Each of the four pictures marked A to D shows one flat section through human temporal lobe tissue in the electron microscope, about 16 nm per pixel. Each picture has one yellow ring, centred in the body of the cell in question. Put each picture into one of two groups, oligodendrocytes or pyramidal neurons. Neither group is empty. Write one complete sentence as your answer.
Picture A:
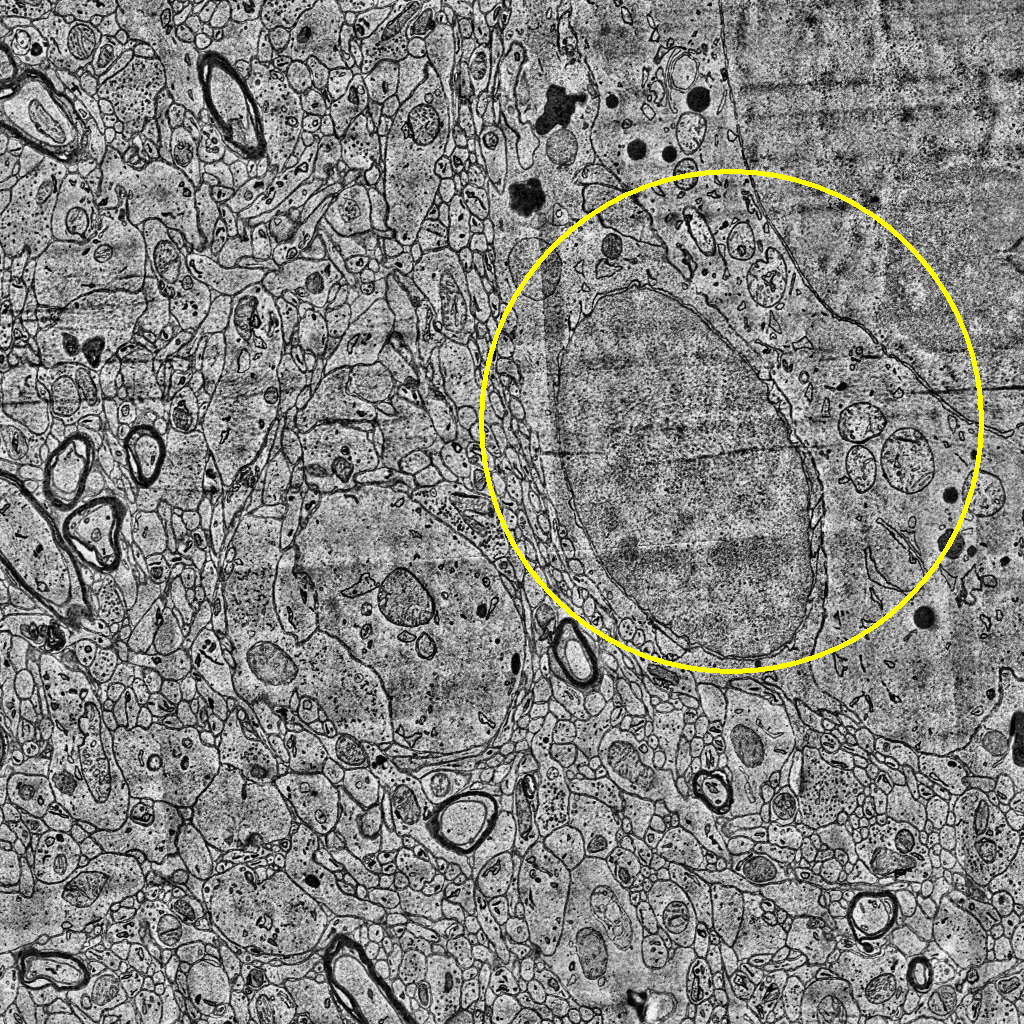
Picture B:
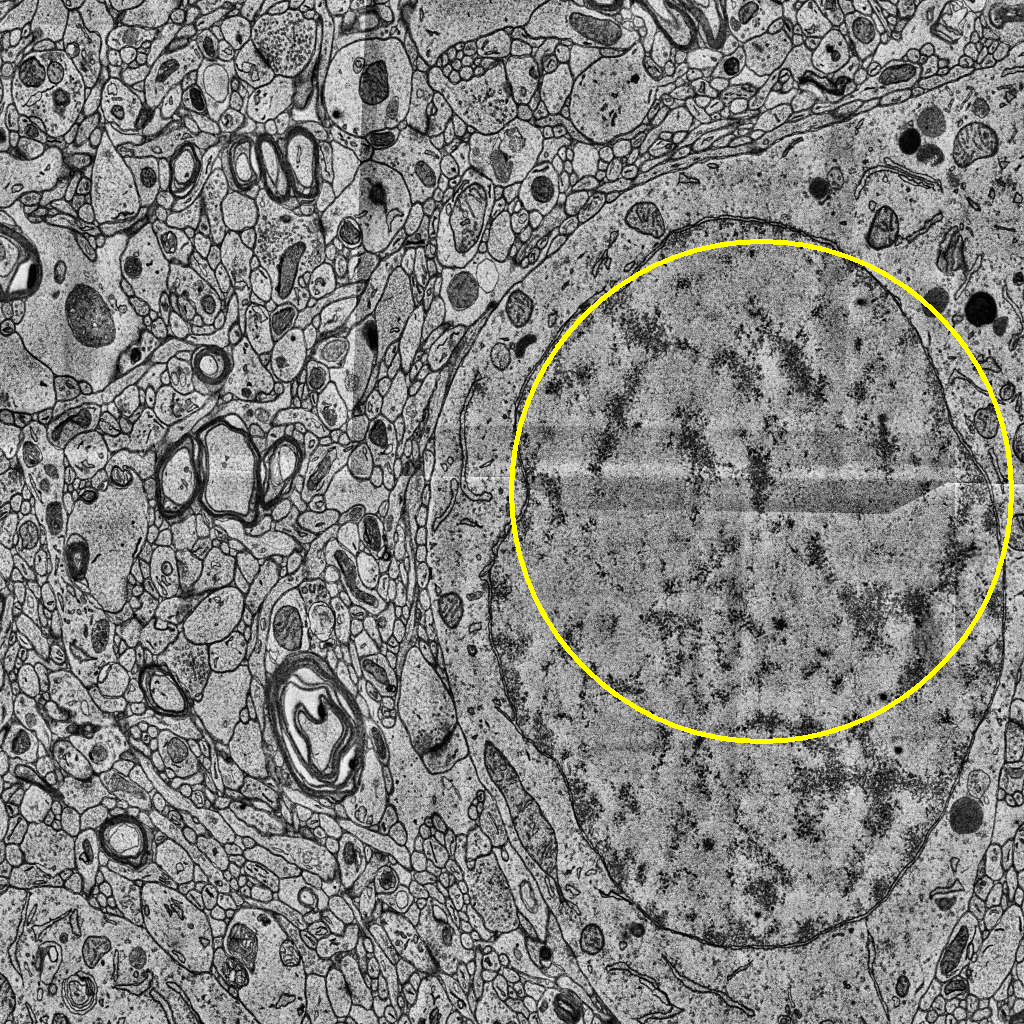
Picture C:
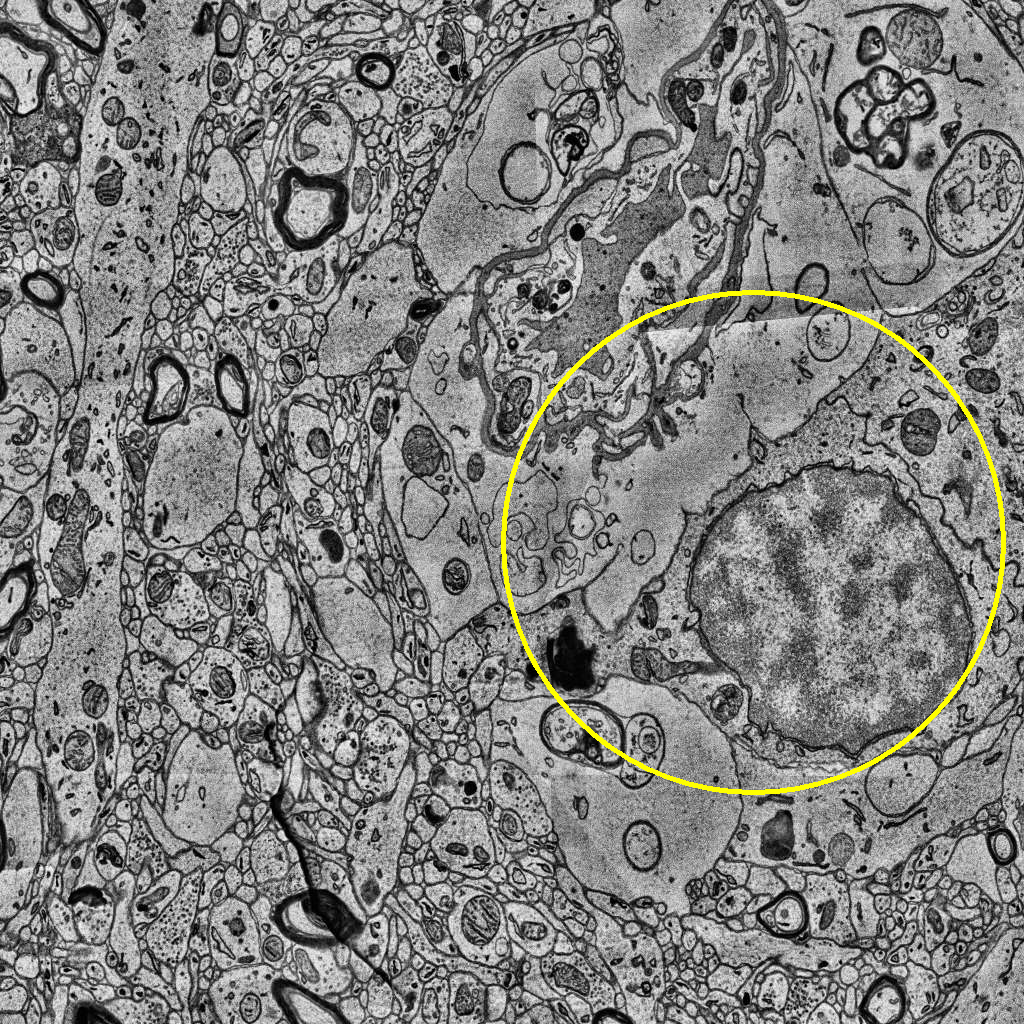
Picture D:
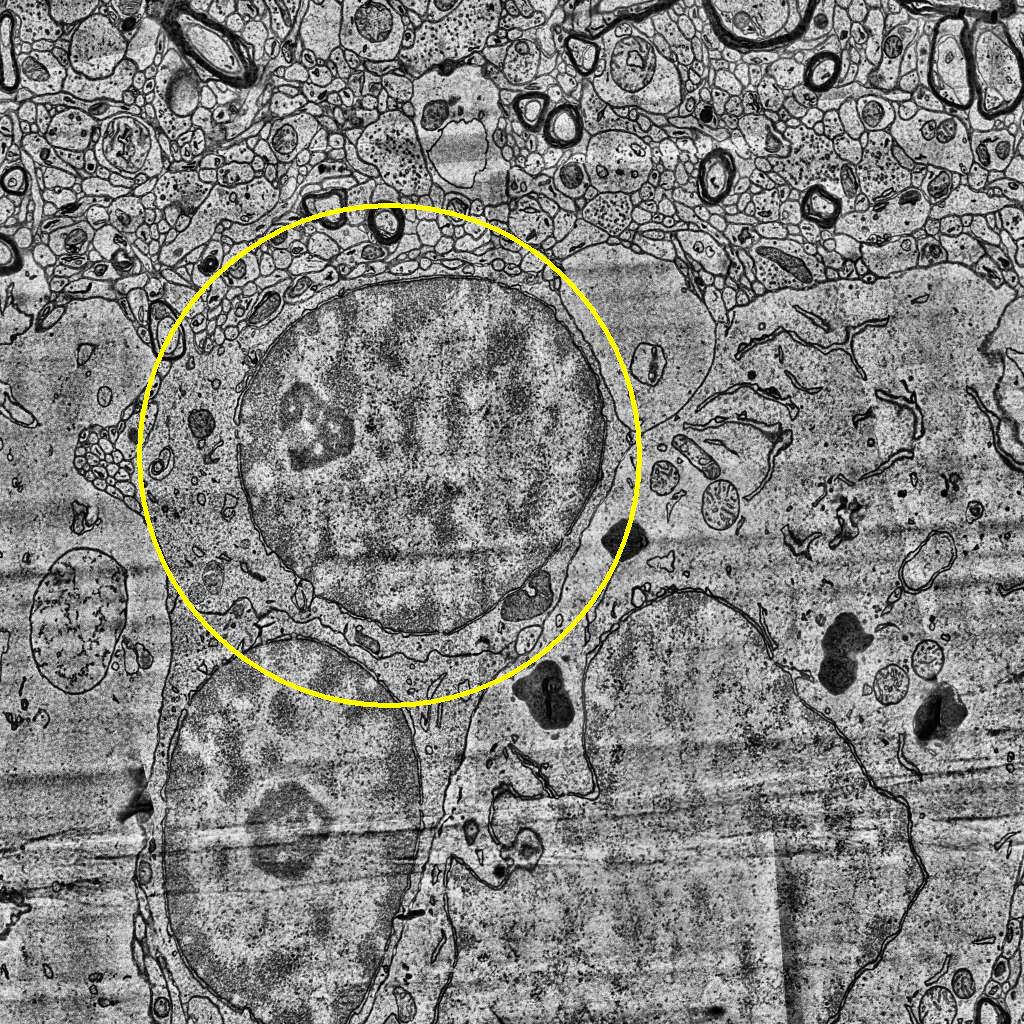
Pictures A, C and D show oligodendrocytes, and picture B shows a pyramidal neuron.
